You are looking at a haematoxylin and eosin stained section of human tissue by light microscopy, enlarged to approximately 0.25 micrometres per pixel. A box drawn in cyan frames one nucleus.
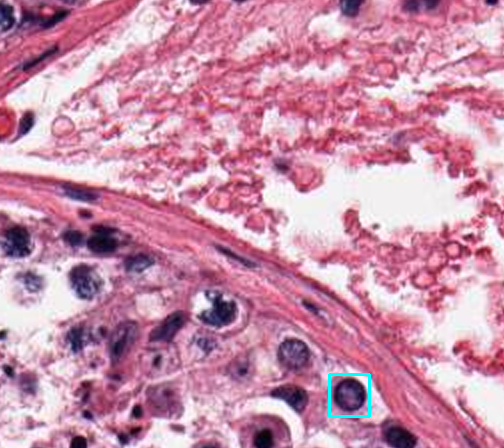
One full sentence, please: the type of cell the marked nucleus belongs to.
The marked nucleus belongs, in this picture, to a spermatogonium.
